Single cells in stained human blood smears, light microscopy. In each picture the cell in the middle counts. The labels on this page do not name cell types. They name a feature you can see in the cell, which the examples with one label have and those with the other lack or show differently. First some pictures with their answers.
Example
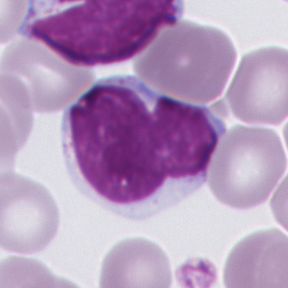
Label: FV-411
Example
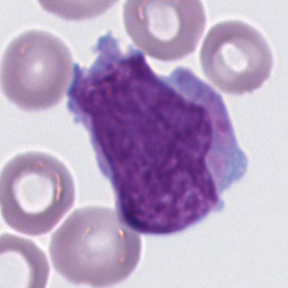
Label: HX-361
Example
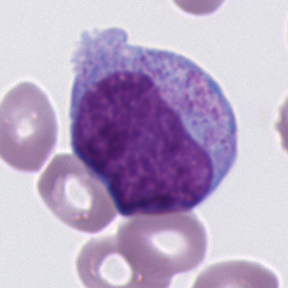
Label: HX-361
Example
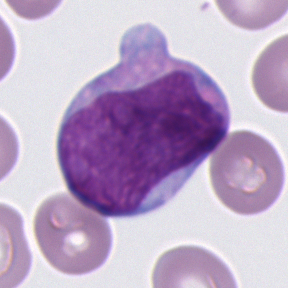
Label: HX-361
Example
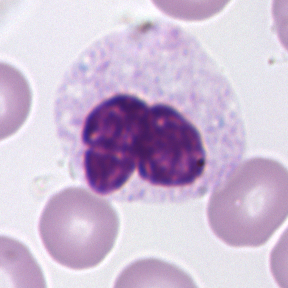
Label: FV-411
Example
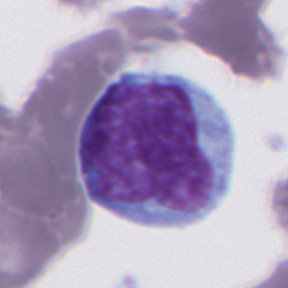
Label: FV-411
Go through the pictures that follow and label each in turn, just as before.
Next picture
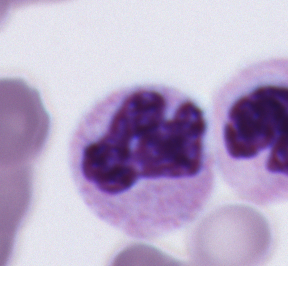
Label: FV-411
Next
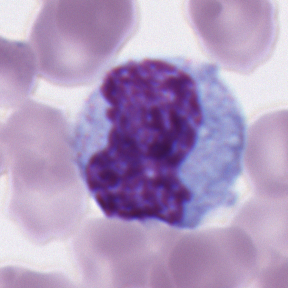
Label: FV-411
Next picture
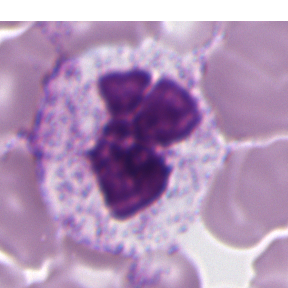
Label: HX-361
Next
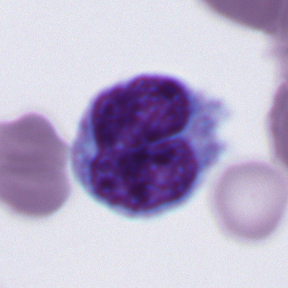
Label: HX-361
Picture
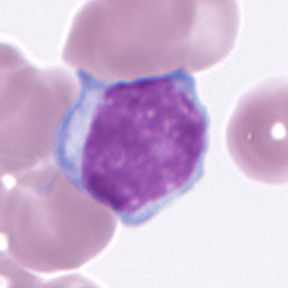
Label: HX-361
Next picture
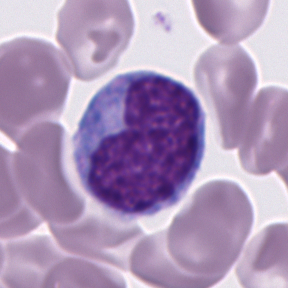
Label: FV-411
